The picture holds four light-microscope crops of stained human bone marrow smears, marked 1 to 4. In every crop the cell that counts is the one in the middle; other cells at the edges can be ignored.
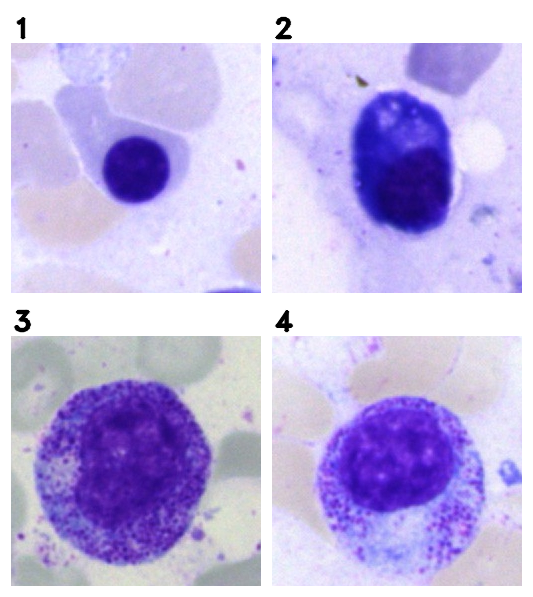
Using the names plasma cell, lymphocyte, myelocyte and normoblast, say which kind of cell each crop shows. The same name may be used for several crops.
1: normoblast
2: plasma cell
3: myelocyte
4: myelocyte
